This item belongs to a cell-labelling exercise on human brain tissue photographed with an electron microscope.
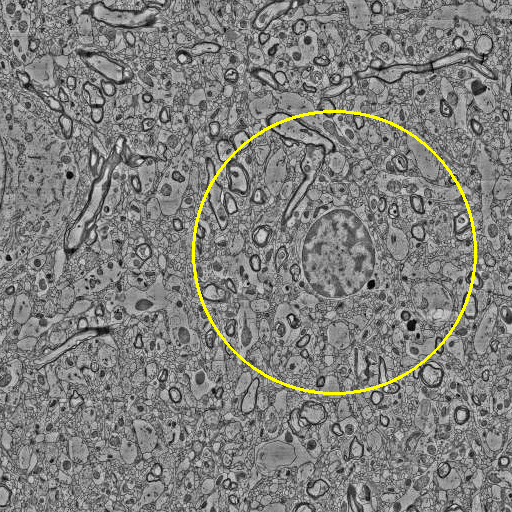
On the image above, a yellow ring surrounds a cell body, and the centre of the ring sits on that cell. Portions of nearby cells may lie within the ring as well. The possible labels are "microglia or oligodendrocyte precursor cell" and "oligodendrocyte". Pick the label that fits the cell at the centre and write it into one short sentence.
This cell should be labelled as a microglial cell or oligodendrocyte precursor cell.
